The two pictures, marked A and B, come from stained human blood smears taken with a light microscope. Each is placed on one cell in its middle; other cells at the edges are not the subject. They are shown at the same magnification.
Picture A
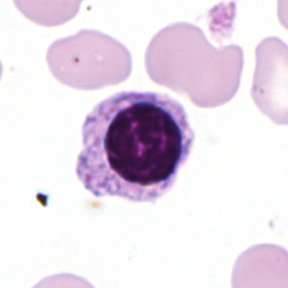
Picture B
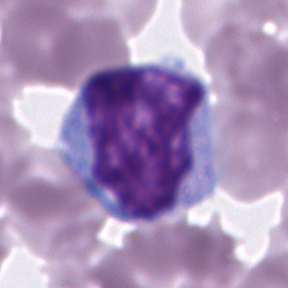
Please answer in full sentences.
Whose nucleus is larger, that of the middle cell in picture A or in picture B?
Picture B shows the larger nucleus; it covers about 2.5 times the area of the nucleus in picture A.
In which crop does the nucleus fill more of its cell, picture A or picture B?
The nucleus fills more of the cell in picture B than in picture A.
